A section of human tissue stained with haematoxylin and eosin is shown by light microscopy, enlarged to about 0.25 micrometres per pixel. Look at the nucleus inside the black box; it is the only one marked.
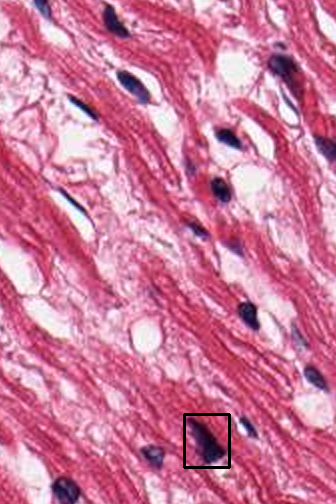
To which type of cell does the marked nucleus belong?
cardiomyocyte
